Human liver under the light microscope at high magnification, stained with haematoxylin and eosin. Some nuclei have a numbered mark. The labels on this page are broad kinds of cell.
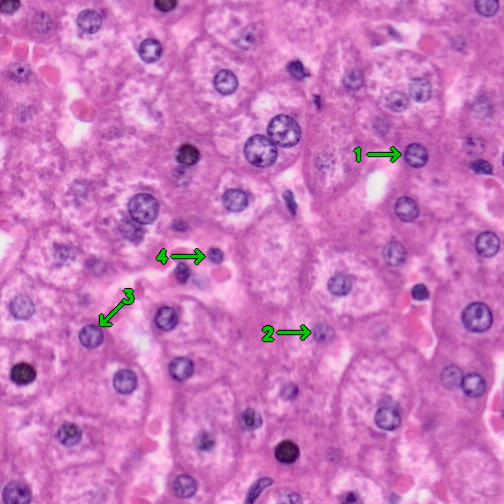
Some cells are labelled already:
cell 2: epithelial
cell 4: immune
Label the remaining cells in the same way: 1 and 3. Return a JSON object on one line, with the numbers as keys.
{"1": "epithelial", "3": "epithelial"}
